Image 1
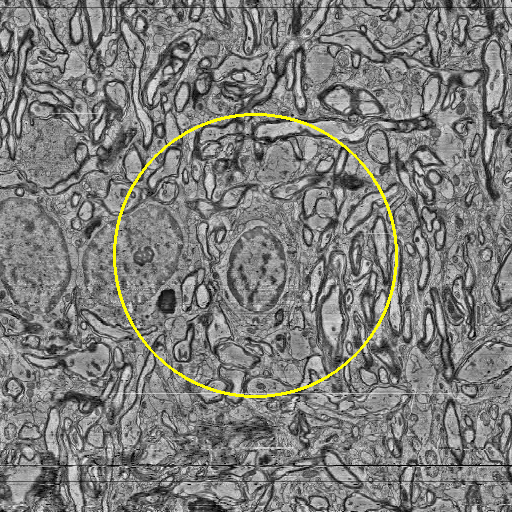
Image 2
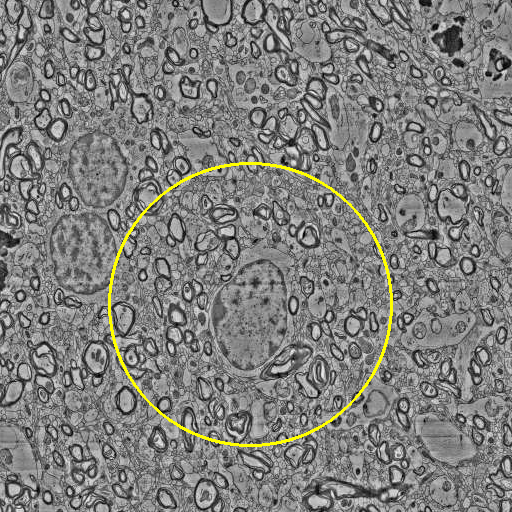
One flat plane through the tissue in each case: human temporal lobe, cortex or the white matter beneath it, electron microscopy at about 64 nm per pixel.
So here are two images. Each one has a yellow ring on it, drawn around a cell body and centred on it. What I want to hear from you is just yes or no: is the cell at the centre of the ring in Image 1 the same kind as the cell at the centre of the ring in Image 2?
yes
